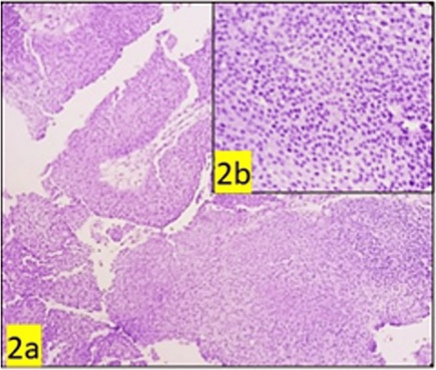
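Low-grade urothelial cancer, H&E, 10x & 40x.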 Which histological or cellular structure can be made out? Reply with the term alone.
Fused papillae.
